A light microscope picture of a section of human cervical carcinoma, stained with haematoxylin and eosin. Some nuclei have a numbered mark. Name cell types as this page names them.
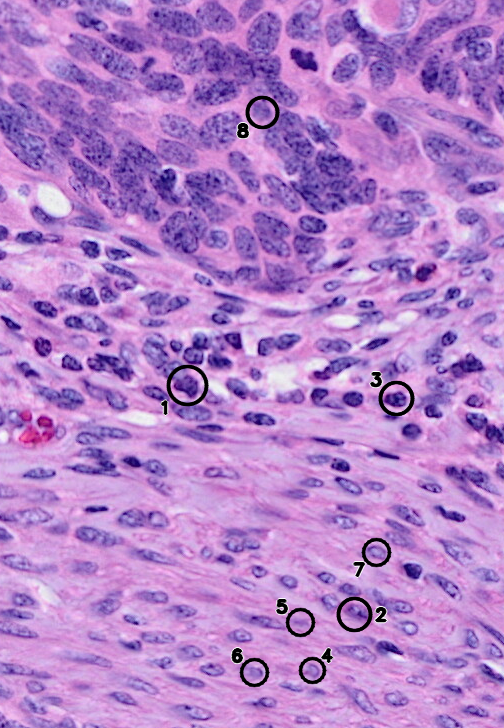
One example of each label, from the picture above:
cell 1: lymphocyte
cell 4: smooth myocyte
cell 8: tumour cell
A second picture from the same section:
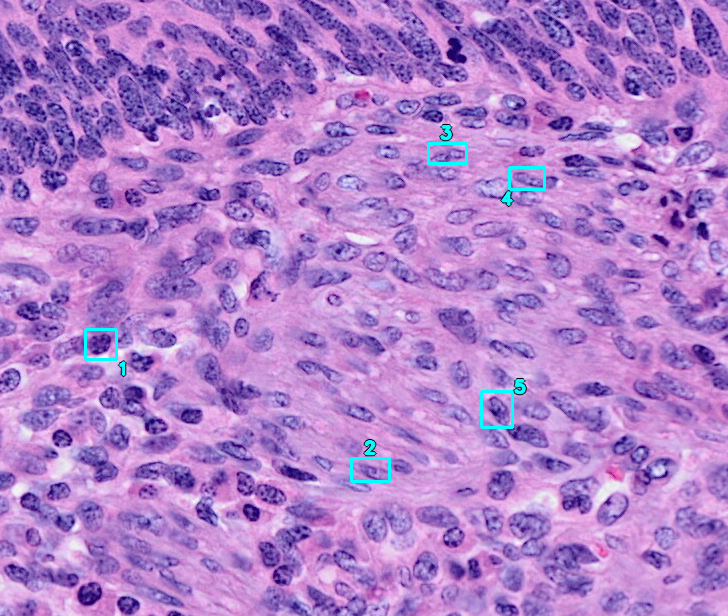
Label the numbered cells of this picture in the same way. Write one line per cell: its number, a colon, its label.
1: lymphocyte
2: smooth myocyte
3: smooth myocyte
4: smooth myocyte
5: lymphocyte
